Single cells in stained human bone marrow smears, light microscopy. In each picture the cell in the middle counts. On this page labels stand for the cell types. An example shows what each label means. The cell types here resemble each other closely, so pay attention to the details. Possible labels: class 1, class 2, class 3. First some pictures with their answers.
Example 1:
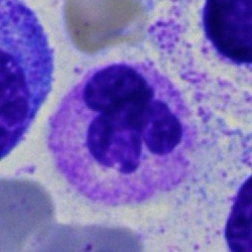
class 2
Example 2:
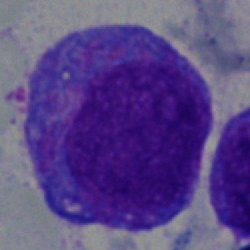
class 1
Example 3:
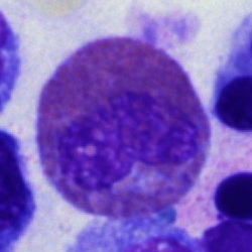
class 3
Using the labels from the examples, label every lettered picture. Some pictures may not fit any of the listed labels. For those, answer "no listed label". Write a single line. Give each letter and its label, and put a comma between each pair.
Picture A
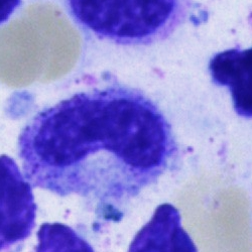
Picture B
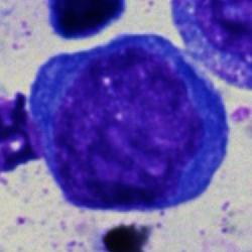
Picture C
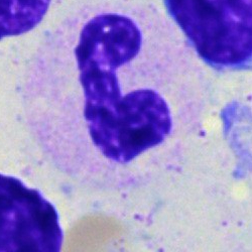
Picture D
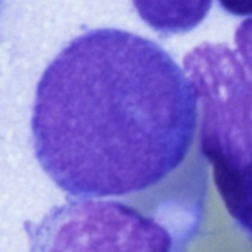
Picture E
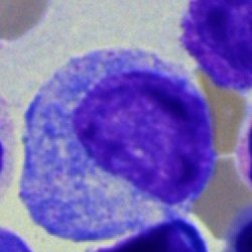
A class 2, B no listed label, C class 2, D no listed label, E class 1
